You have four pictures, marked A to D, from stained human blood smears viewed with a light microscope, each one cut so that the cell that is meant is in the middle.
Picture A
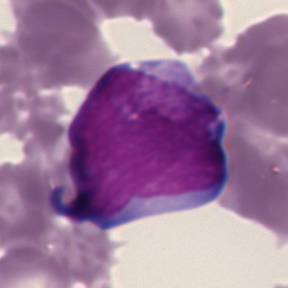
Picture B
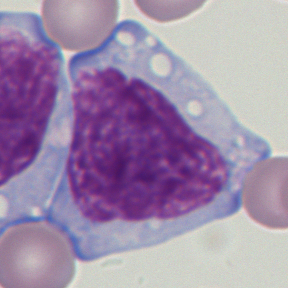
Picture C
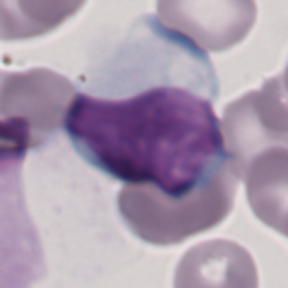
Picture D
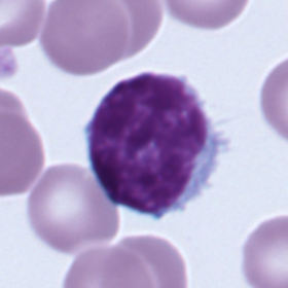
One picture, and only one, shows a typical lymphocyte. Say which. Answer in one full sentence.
The cell in picture D is the typical lymphocyte.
